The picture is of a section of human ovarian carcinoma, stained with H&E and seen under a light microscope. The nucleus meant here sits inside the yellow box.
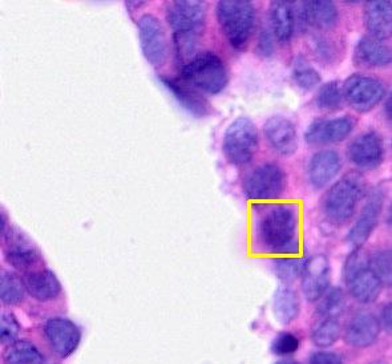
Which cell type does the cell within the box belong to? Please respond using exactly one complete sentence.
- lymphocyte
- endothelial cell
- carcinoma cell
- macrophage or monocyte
It is as a carcinoma cell that the cell within the box is classified.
